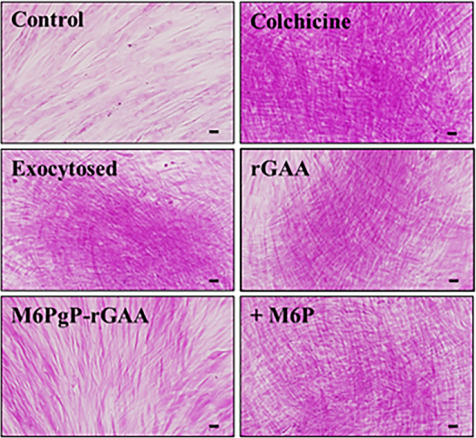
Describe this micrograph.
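In some fields the cells are crowded with strong magenta to purple staining, so the whole layer looks dark and densely textured. In others the cells are only pale pink, with much lighter spaces between them. The difference in how intensely the cells take up the magenta stain is the main thing to compare from field to field.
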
